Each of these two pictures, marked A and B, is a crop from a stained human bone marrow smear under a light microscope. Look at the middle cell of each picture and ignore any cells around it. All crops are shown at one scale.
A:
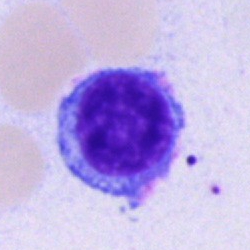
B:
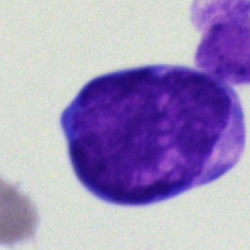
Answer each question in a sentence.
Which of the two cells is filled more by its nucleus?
It is the cell in picture B that is filled more by its nucleus.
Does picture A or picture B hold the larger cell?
The cell in picture B is larger, with about 1.5 times the area of the one in picture A.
